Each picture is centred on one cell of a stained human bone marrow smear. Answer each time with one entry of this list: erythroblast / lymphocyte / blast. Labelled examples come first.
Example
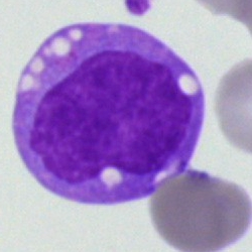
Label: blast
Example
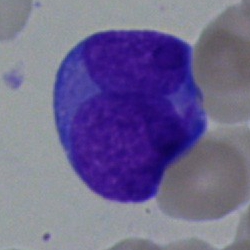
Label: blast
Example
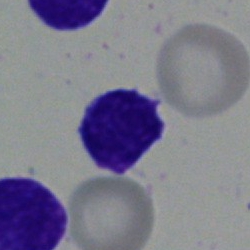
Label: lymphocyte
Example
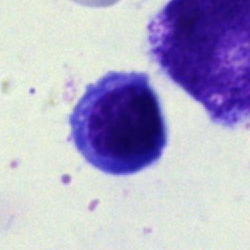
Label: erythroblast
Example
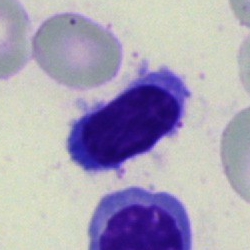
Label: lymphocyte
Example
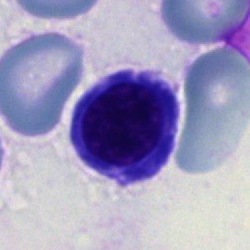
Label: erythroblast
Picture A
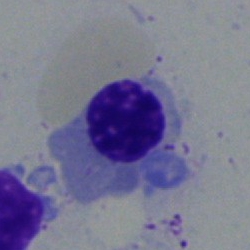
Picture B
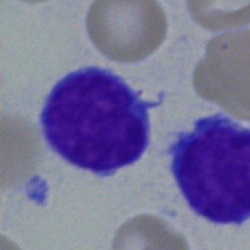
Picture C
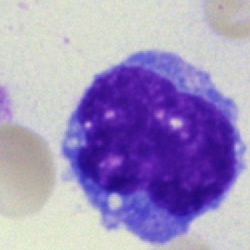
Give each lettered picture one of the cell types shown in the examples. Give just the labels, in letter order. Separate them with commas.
erythroblast, lymphocyte, blast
